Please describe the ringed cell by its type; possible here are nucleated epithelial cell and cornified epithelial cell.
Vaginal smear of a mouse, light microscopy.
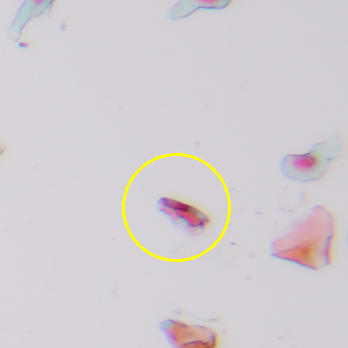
The yellow ring marks a cornified epithelial cell.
